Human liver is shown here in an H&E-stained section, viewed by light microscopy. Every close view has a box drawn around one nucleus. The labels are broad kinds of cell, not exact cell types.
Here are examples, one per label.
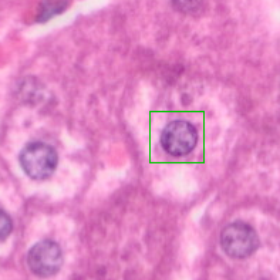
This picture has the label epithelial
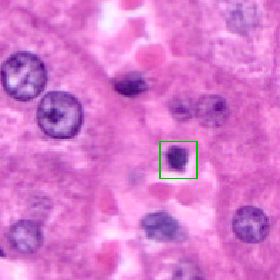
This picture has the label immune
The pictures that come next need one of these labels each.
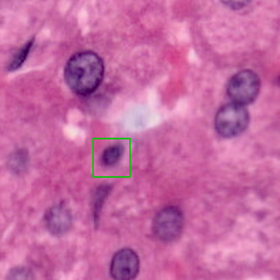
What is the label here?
immune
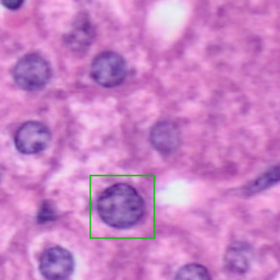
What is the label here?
epithelial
